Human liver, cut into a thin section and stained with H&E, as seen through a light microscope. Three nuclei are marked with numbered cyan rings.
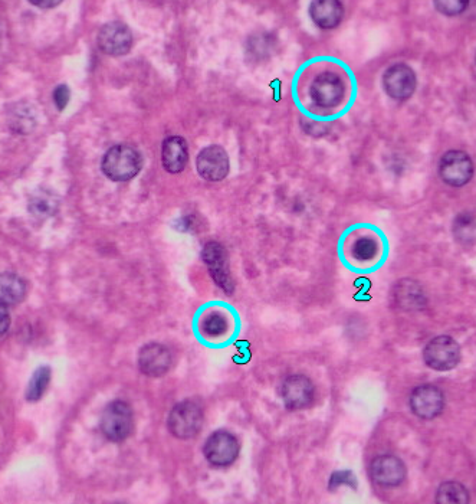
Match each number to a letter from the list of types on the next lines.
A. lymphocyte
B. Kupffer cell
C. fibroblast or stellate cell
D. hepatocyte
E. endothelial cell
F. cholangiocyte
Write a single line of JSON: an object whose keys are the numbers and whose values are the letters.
{"1": "D", "2": "A", "3": "A"}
